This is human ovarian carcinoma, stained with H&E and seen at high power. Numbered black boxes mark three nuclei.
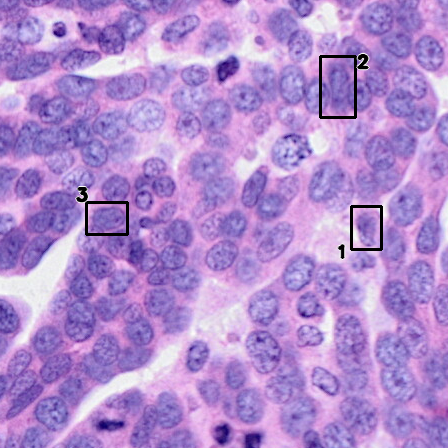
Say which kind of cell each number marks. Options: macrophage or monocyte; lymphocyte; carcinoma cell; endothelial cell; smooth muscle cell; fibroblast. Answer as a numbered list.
1. macrophage or monocyte
2. carcinoma cell
3. carcinoma cell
